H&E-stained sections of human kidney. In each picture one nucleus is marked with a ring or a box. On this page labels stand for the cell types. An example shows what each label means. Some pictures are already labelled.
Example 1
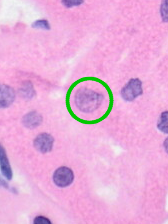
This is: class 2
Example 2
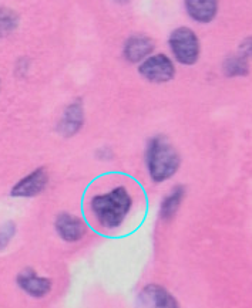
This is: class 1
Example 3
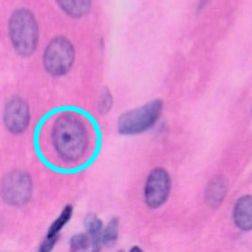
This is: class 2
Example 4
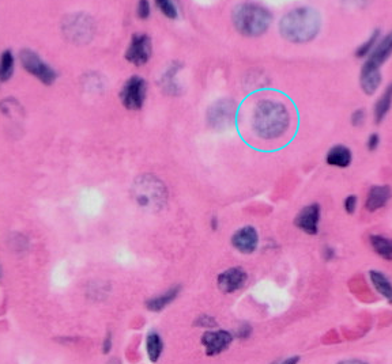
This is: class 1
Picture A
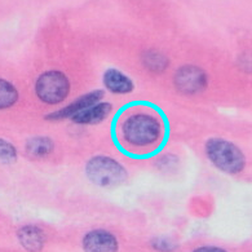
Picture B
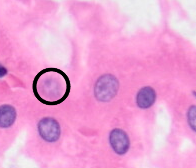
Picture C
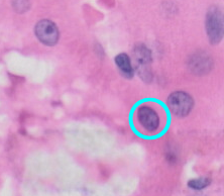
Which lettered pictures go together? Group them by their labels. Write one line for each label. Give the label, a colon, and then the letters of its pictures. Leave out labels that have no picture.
class 2: B, C
class 1: A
